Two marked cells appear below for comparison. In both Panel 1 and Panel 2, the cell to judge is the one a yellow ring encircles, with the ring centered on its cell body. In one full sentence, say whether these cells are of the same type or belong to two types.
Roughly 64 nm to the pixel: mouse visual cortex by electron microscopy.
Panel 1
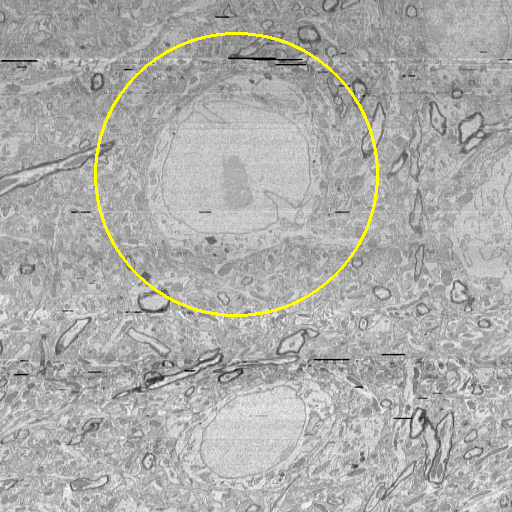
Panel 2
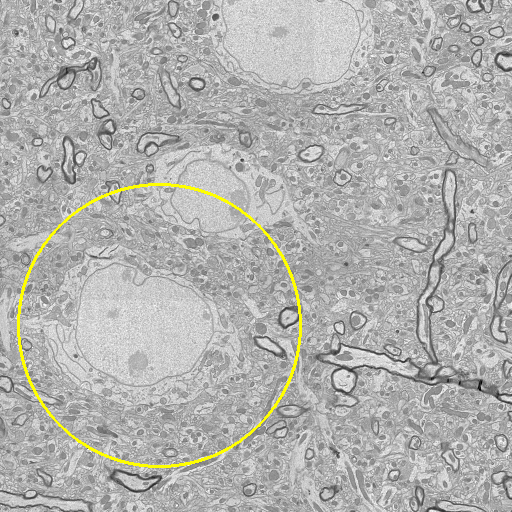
The cell centered in the Panel 1 ring and the one in Panel 2 are of the same type.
